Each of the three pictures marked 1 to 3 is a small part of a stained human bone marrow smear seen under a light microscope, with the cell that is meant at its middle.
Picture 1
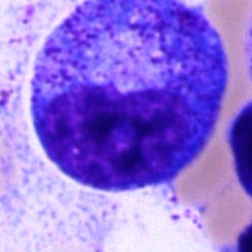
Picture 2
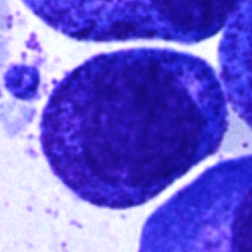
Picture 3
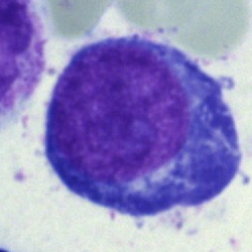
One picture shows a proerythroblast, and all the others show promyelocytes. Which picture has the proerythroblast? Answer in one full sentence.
The proerythroblast is the one in picture 3.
